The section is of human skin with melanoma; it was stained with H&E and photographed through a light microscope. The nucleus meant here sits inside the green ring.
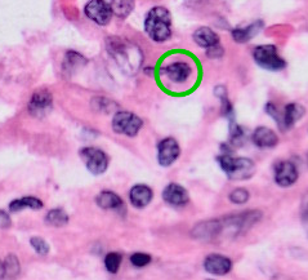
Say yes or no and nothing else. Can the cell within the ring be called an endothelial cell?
no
